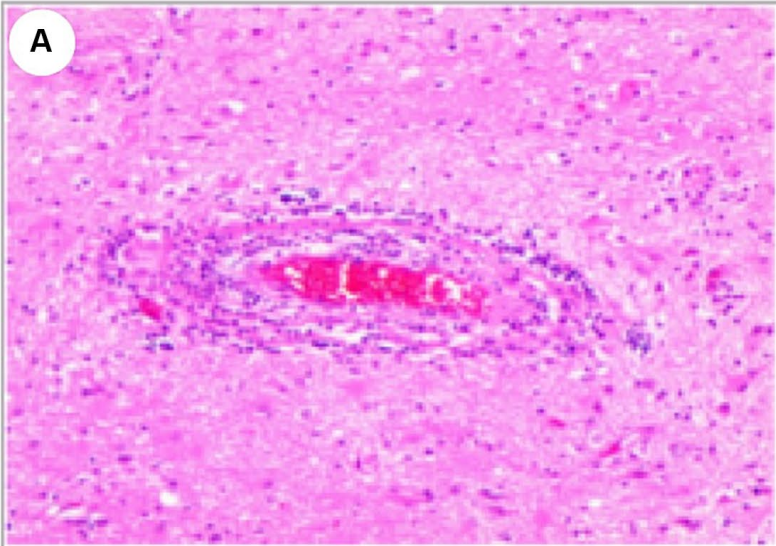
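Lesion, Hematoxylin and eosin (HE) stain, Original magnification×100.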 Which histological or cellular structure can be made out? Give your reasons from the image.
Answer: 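A central elongated lumen filled with red blood cells. Concentric layers of wall around the lumen, crowded by small dark nuclei. On this evidence: small blood vessels.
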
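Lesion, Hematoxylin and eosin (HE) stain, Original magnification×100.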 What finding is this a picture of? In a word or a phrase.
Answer: Dense perivascular chronic inflammation.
